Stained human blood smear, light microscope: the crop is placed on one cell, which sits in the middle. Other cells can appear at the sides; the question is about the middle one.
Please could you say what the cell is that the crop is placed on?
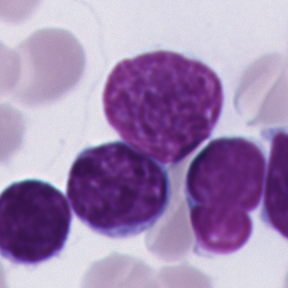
myeloblast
